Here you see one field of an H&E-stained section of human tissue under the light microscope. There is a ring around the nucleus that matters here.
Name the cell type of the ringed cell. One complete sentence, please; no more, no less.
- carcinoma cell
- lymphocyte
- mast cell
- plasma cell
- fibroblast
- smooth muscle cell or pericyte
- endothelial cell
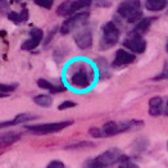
As classified here, the ringed cell is a lymphocyte.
